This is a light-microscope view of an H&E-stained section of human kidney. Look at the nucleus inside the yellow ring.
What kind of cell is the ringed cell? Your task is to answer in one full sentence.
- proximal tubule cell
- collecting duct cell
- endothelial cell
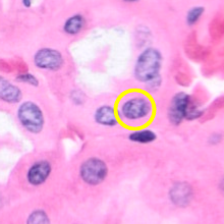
Cytologically, the ringed cell is to be regarded as a collecting duct cell.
